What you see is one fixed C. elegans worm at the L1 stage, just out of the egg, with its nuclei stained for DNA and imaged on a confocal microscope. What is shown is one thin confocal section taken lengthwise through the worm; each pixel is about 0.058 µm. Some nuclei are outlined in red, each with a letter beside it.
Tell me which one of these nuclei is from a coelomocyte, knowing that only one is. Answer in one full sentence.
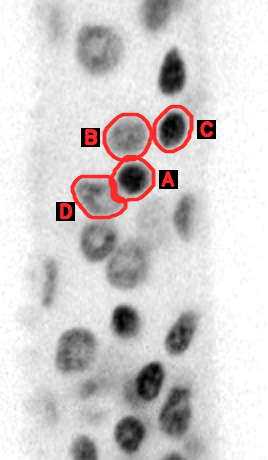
The nucleus of a coelomocyte is C.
